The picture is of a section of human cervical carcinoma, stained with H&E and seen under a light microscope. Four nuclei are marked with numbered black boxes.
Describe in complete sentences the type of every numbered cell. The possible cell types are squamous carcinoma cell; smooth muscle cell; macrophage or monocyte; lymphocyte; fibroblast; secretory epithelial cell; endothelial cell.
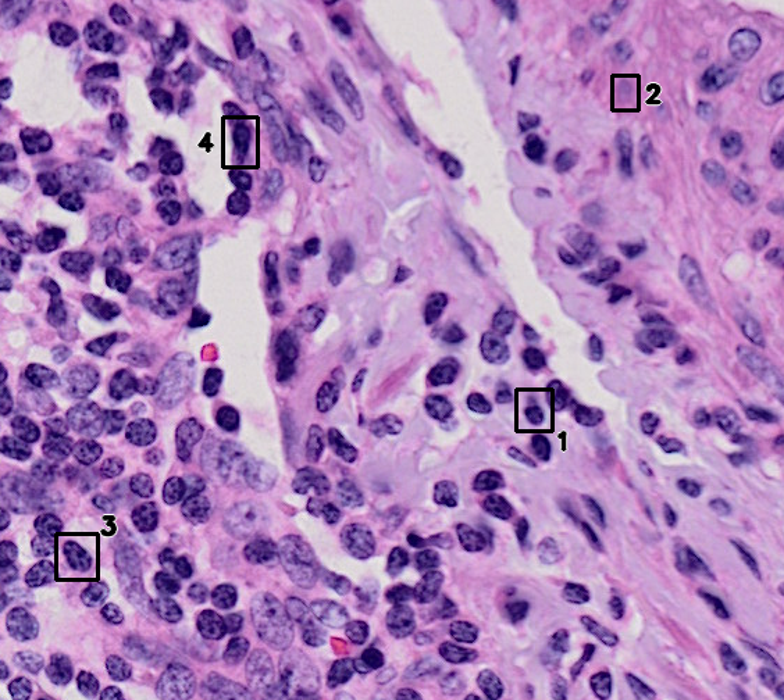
Cell 1 is a lymphocyte, cell 2 is a smooth muscle cell, cell 3 is a lymphocyte and cell 4 is a lymphocyte.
